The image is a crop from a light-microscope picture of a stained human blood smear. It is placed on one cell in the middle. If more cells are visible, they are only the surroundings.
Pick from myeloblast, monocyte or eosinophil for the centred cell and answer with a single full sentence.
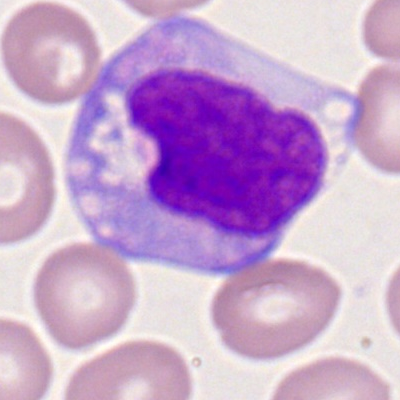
In this smear crop, the middle cell is a monocyte.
